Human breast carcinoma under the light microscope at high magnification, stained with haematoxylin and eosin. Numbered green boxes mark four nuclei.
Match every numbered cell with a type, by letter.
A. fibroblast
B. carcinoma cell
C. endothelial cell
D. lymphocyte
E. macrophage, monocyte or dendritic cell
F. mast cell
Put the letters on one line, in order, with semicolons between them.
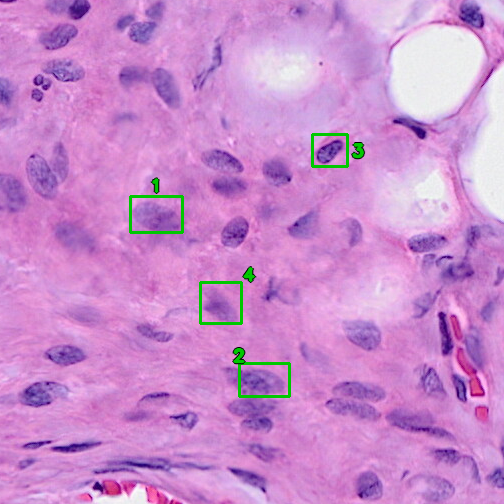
A; A; F; A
